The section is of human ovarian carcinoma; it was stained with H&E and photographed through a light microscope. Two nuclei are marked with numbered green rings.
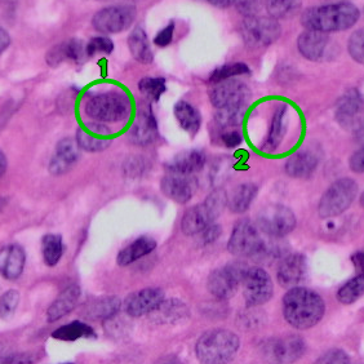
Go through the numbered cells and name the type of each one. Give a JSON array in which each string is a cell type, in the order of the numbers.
["carcinoma cell", "endothelial cell"]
